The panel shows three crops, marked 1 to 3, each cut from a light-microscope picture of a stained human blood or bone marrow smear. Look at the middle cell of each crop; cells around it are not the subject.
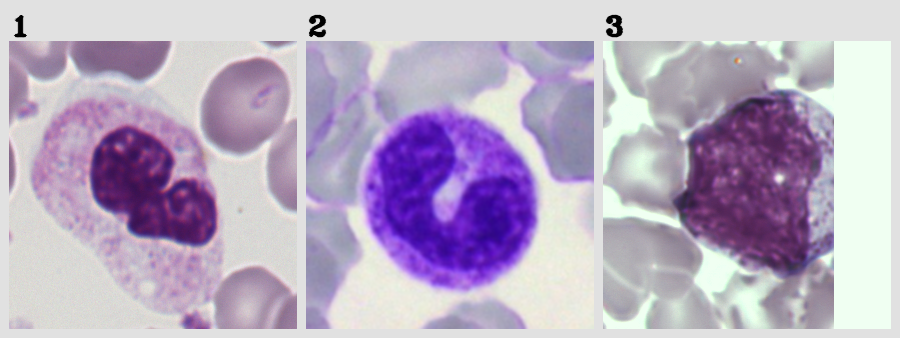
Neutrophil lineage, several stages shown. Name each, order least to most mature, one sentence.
From the least mature to the most mature, the sequence runs crop 3 (a myelocyte), crop 2 (a band neutrophil) and crop 1 (a segmented neutrophil).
